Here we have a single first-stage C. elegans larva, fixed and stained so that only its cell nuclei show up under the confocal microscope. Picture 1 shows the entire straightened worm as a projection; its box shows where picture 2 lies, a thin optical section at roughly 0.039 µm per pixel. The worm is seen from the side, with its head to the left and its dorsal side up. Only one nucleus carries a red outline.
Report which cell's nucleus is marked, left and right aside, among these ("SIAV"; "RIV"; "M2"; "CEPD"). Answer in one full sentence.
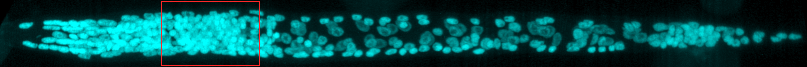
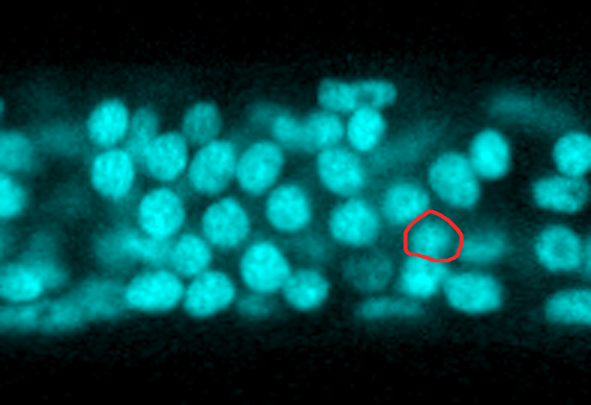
This is the nucleus of M2, a neuron.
